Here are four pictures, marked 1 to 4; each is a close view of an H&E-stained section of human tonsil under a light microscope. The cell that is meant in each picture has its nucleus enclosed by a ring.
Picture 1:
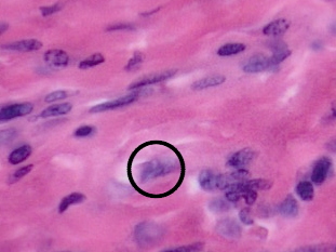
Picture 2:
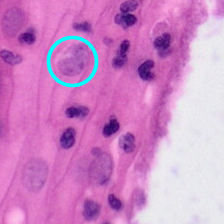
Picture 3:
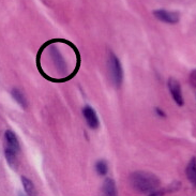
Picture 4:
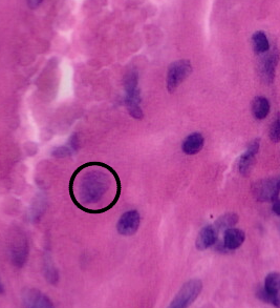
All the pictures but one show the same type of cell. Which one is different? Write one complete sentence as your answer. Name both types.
Unlike the rest, which show endothelial cells, picture 2 shows a squamous epithelial cell.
